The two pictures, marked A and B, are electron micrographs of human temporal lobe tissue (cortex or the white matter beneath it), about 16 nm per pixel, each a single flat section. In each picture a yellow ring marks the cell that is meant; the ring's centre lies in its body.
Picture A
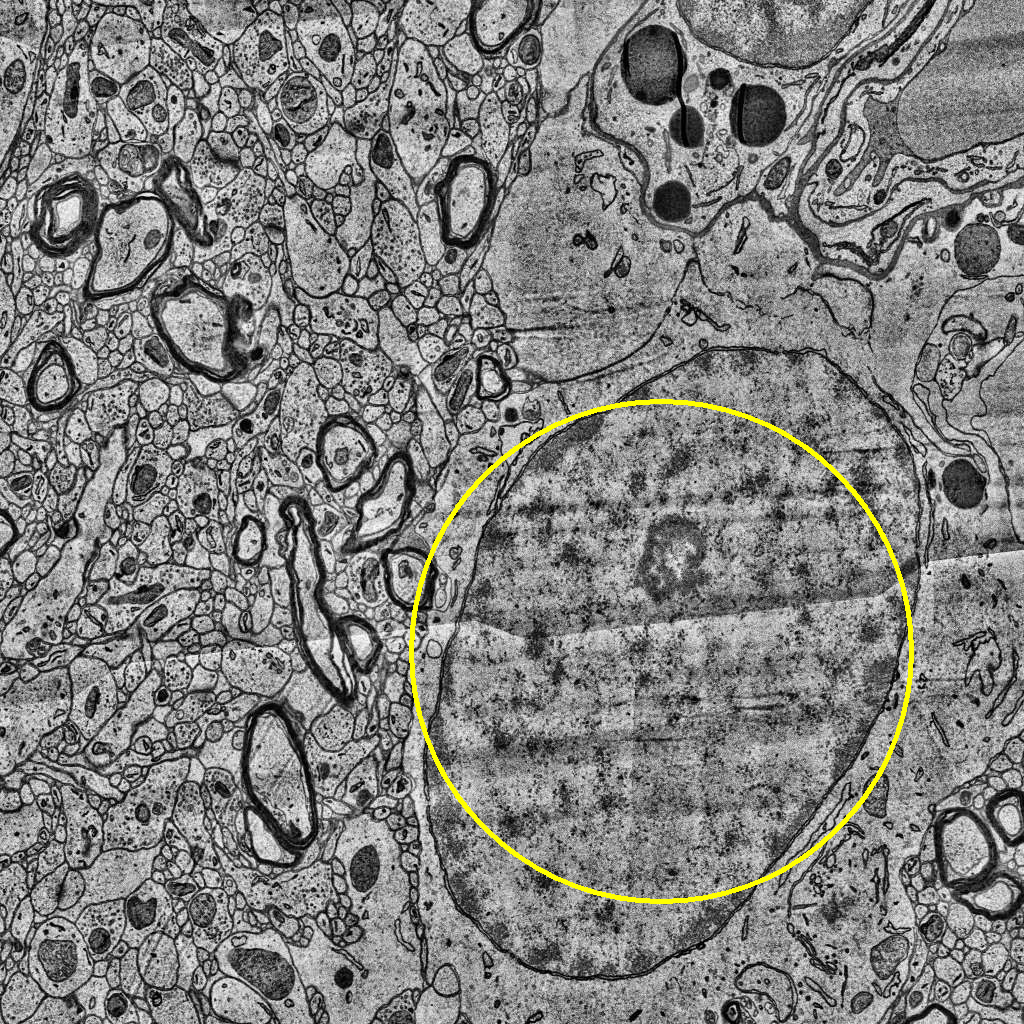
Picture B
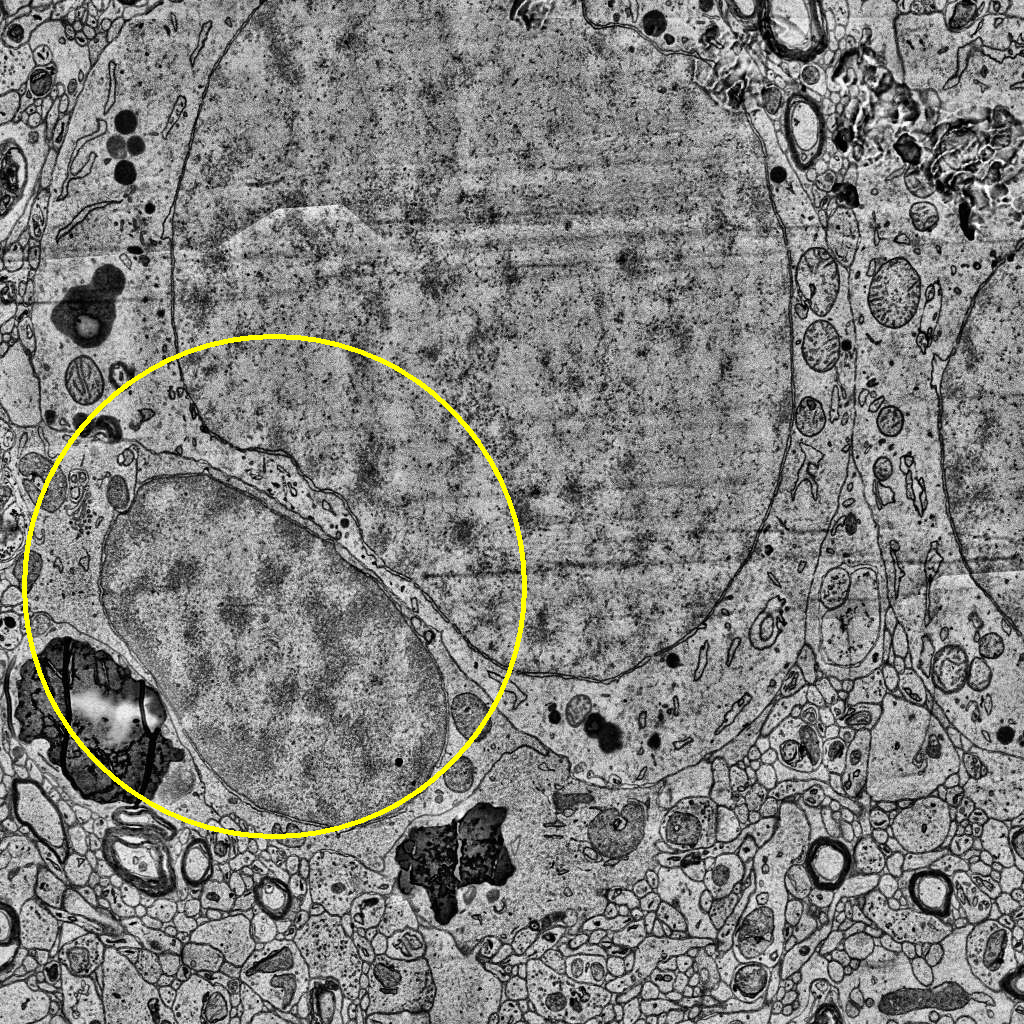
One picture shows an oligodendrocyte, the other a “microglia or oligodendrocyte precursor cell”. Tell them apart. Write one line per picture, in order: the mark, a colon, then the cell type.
A: microglia or oligodendrocyte precursor cell
B: oligodendrocyte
